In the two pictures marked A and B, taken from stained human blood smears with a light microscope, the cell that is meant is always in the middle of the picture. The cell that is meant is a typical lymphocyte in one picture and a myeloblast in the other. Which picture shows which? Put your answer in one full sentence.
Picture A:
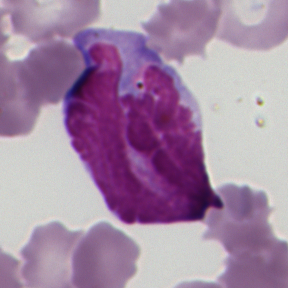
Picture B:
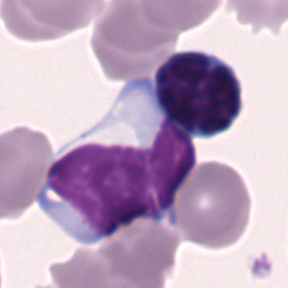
Picture B shows a typical lymphocyte, while picture A shows a myeloblast.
